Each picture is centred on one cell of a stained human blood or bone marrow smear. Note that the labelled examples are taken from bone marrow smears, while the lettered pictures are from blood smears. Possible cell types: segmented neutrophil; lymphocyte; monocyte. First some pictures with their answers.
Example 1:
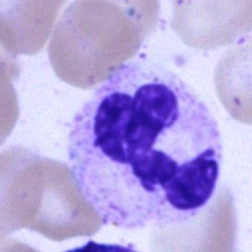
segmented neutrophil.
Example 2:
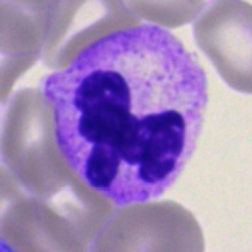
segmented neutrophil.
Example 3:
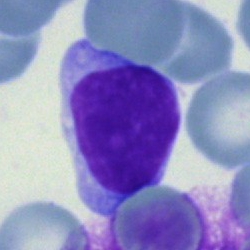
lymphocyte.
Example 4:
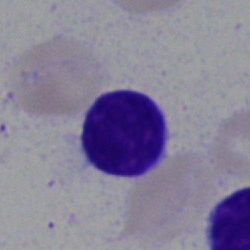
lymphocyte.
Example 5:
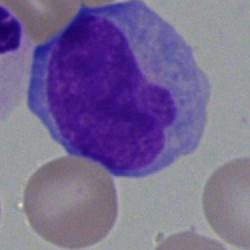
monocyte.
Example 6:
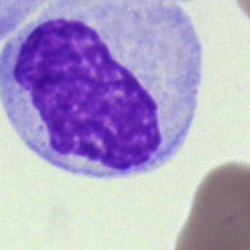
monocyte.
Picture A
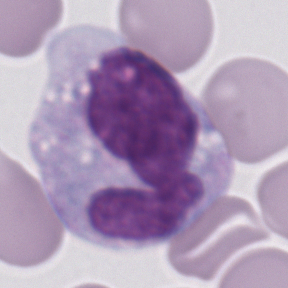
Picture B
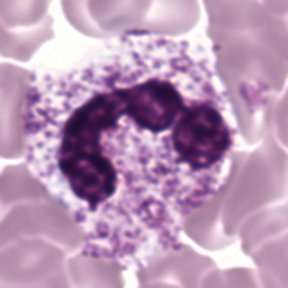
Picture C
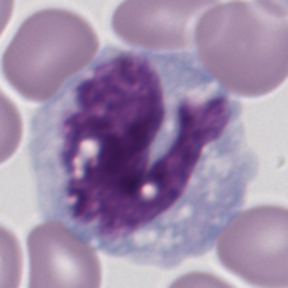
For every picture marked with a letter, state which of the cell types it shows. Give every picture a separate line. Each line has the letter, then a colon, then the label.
A: monocyte.
B: segmented neutrophil.
C: monocyte.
